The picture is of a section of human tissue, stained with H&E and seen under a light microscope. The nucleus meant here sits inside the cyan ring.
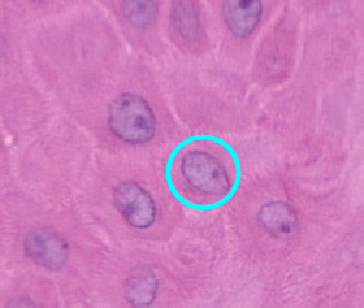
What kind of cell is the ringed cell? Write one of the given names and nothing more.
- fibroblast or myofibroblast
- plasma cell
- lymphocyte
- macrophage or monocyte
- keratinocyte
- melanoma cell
keratinocyte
